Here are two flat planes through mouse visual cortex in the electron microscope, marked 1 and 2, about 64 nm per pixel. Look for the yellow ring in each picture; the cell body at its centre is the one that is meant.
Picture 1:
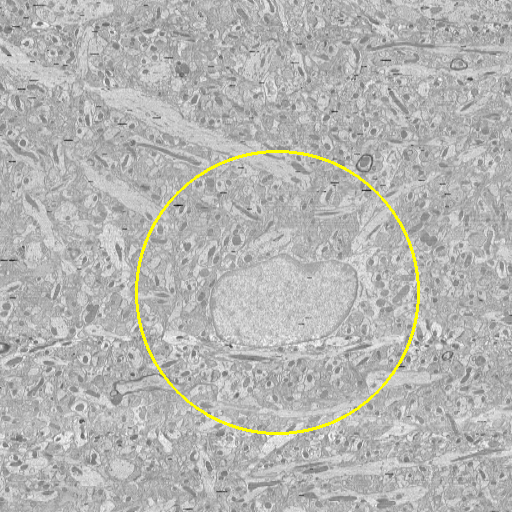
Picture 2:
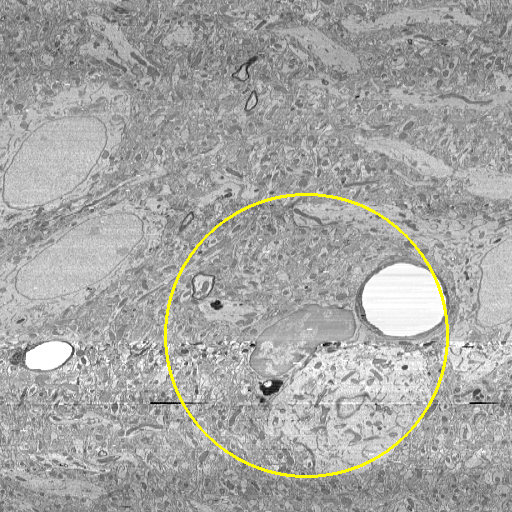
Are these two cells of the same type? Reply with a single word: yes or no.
no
